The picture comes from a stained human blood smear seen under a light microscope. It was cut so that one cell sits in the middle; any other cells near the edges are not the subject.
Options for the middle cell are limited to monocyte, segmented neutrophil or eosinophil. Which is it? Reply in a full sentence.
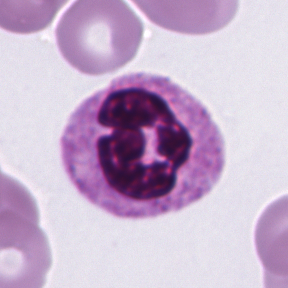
The cell at the middle of the frame should be recorded as a segmented neutrophil.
